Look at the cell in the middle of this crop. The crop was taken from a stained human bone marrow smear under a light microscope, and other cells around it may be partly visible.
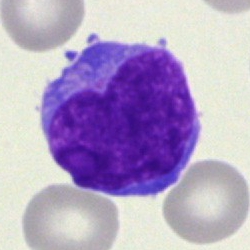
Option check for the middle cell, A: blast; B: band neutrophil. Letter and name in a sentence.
Option A is to be chosen, as the central cell is a blast.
